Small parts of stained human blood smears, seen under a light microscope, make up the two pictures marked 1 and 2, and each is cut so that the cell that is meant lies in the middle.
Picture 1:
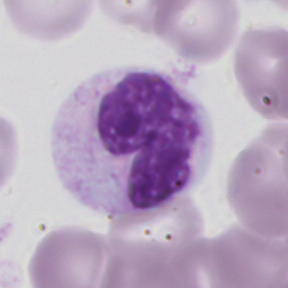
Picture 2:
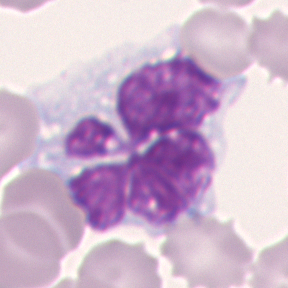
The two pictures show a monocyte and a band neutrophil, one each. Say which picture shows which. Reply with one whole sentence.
In picture 1 the cell is a band neutrophil; in picture 2, a monocyte.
